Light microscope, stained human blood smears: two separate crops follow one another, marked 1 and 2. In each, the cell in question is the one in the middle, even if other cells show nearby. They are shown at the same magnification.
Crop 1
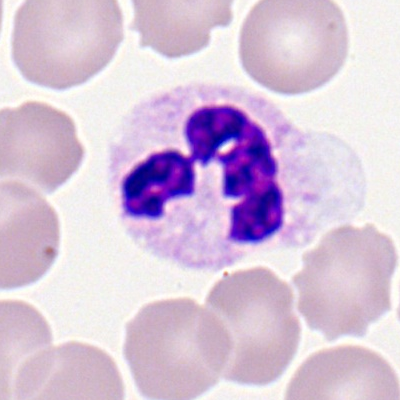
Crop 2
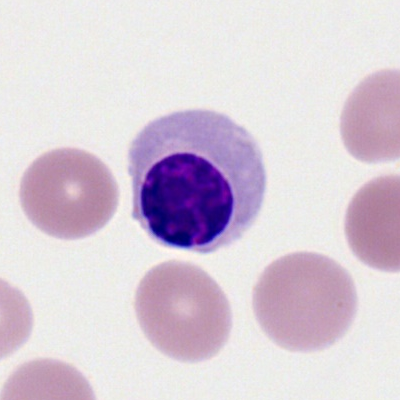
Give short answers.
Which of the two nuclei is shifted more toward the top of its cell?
1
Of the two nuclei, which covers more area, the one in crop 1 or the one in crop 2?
1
